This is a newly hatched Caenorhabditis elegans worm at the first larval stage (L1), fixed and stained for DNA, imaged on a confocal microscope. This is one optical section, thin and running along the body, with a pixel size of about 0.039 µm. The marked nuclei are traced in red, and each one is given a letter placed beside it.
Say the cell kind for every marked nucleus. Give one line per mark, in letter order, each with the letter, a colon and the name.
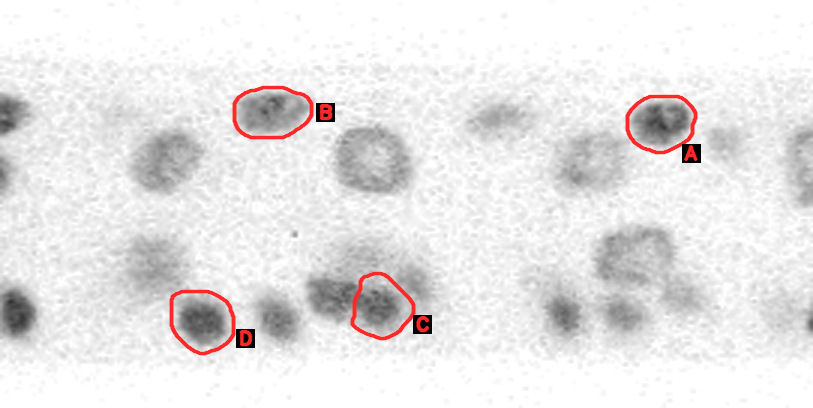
A: body wall muscle cell
B: body wall muscle cell
C: neuron
D: neuron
